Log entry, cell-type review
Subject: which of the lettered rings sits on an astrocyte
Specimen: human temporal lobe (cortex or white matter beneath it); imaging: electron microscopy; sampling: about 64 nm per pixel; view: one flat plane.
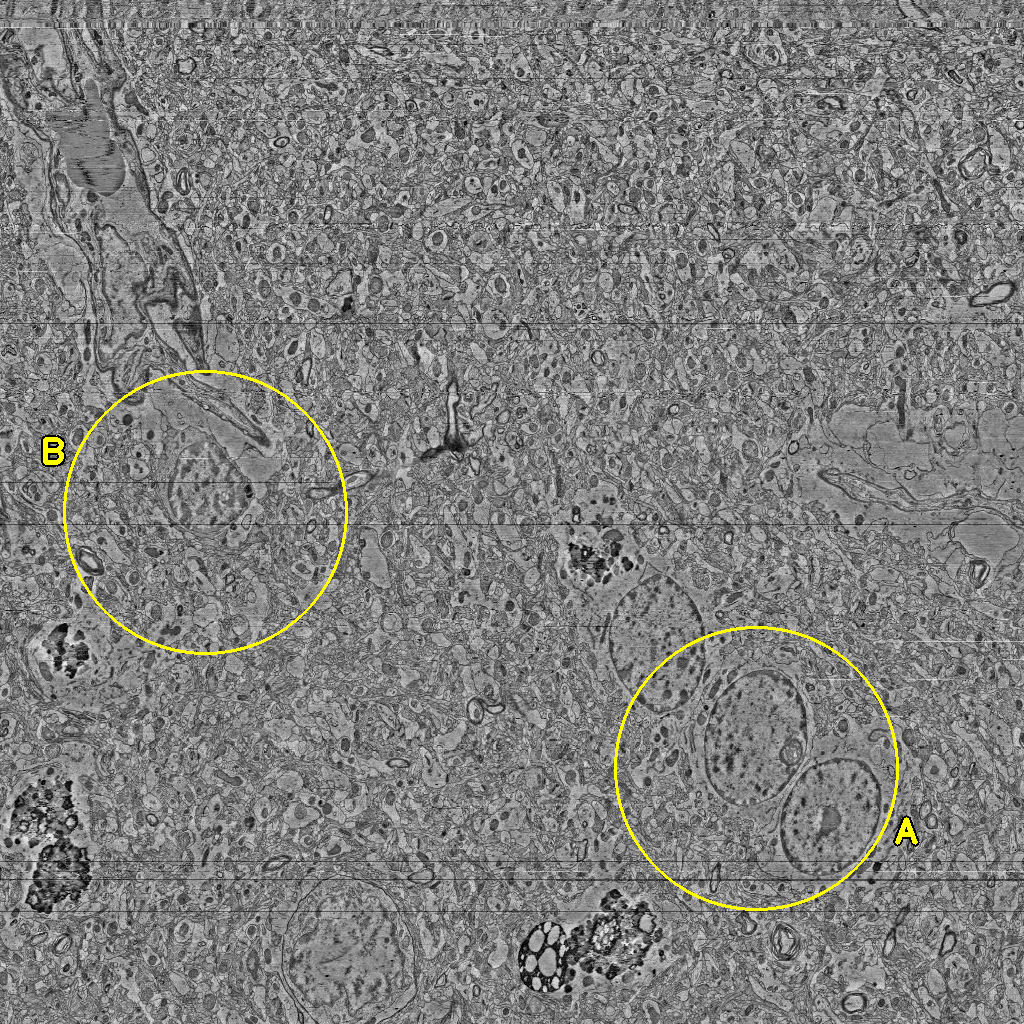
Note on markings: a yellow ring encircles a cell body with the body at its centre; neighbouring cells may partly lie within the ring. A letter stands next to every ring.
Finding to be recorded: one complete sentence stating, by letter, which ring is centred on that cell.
The cell sits at the centre of ring A.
